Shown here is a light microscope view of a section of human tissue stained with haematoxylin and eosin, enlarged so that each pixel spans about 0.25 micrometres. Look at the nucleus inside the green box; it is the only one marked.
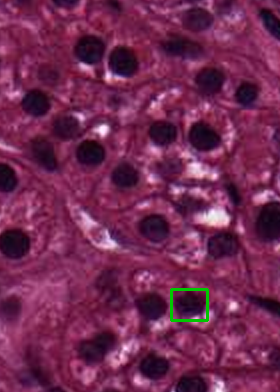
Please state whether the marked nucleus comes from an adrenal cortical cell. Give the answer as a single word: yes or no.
yes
